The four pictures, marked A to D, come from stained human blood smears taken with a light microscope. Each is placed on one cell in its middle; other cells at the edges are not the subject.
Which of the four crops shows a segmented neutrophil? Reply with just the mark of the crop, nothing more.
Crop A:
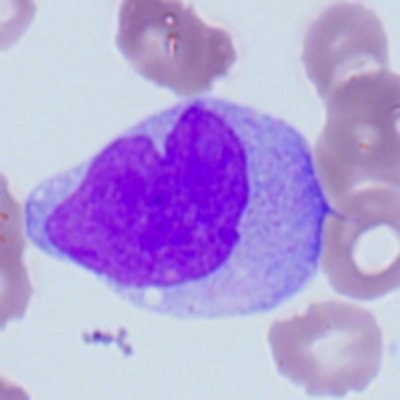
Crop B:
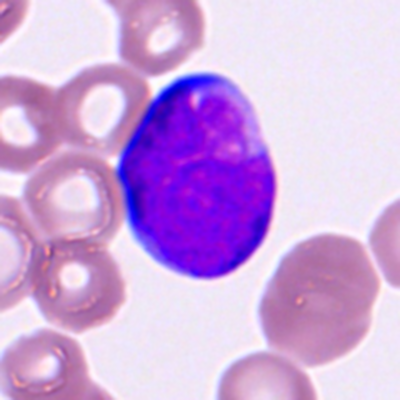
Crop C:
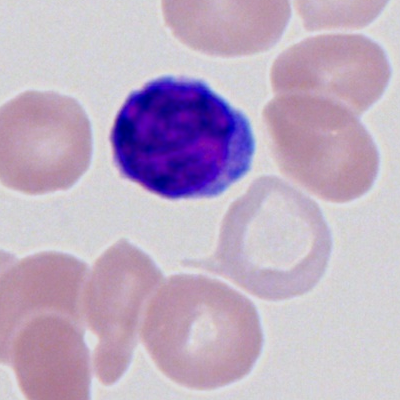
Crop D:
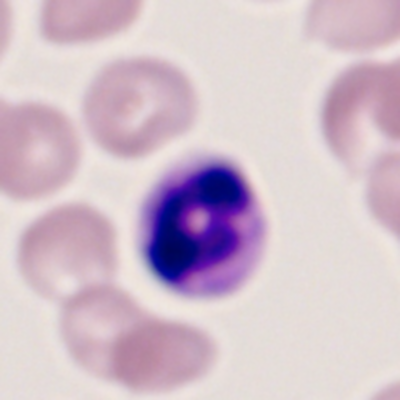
D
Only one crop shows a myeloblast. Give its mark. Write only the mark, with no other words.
B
